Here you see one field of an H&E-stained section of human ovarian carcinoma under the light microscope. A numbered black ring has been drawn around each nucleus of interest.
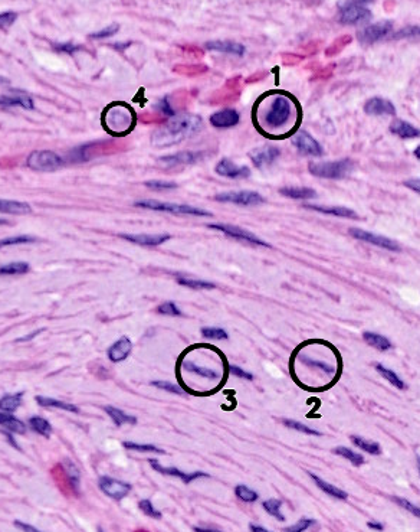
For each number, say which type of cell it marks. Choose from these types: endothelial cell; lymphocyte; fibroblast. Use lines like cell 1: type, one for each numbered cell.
cell 1: lymphocyte
cell 2: fibroblast
cell 3: fibroblast
cell 4: fibroblast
